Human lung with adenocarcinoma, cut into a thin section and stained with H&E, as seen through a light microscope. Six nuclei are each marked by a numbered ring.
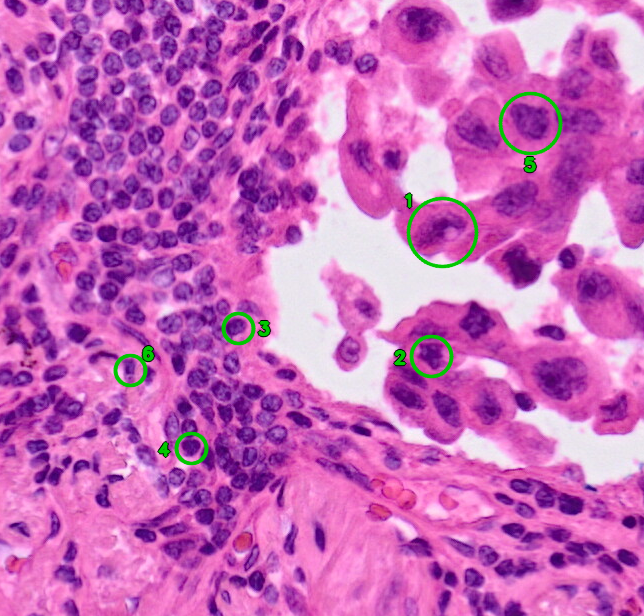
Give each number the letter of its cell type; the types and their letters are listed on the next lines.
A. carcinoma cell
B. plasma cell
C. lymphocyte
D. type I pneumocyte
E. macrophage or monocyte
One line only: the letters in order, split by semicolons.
A; A; C; C; A; C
